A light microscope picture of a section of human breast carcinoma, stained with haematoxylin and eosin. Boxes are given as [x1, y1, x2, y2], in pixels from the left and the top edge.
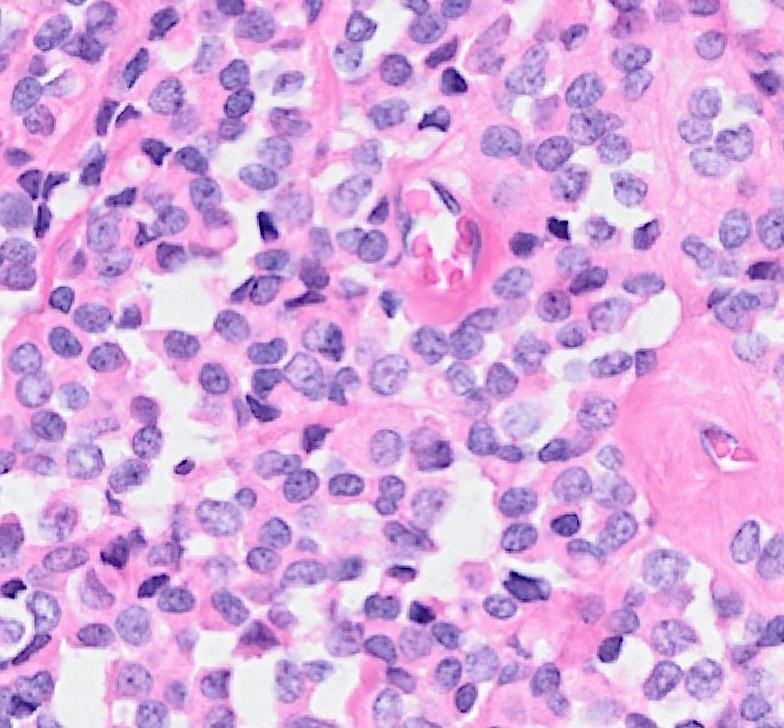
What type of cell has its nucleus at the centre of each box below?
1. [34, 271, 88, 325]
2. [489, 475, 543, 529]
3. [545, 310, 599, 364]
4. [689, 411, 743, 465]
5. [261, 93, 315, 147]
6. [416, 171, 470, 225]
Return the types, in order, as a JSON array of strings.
["carcinoma cell", "carcinoma cell", "carcinoma cell", "endothelial cell", "carcinoma cell", "endothelial cell"]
